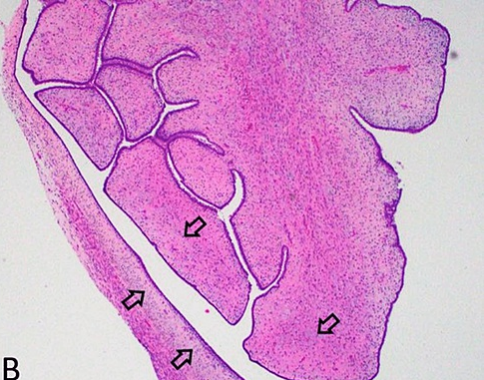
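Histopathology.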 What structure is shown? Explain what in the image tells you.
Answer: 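Rounded stromal lobes are separated by narrow clefts. A thin, darker cell layer lines the clefts. On this evidence: leaf-like patterns.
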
